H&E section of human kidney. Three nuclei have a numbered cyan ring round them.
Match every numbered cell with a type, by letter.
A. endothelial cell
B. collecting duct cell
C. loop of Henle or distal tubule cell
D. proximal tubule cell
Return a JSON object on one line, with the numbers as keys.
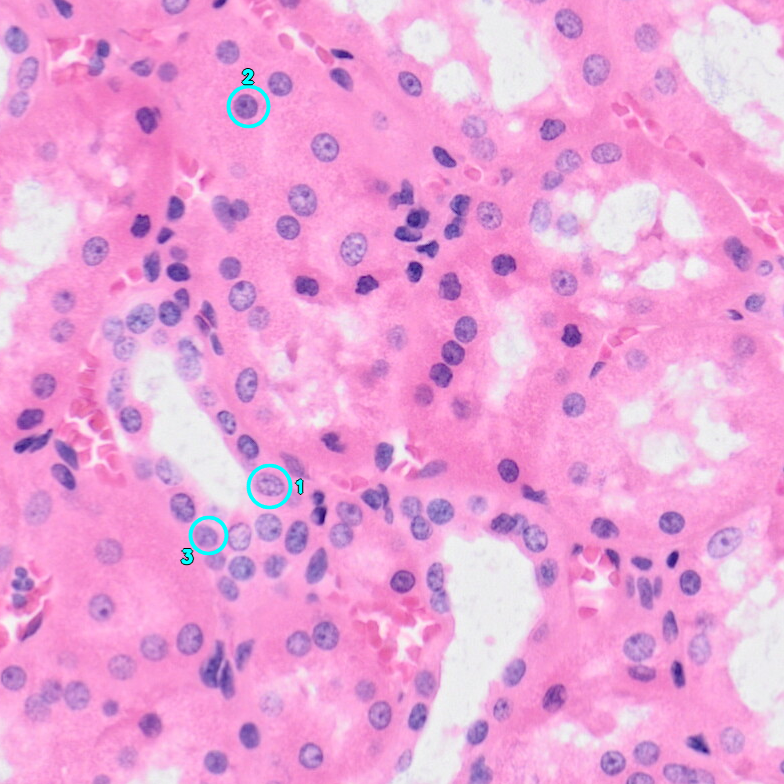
{"1": "B", "2": "D", "3": "B"}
